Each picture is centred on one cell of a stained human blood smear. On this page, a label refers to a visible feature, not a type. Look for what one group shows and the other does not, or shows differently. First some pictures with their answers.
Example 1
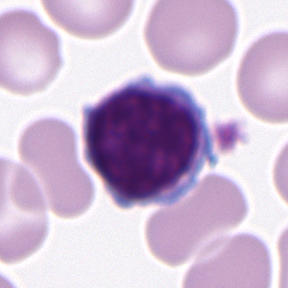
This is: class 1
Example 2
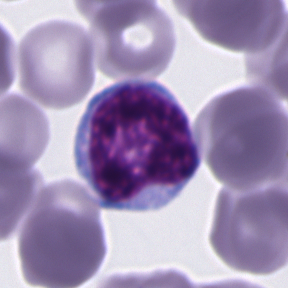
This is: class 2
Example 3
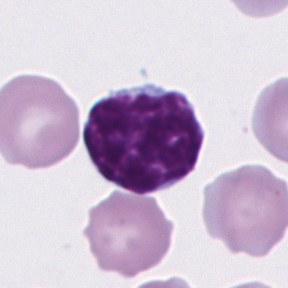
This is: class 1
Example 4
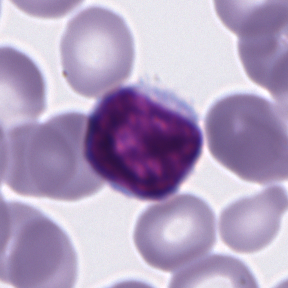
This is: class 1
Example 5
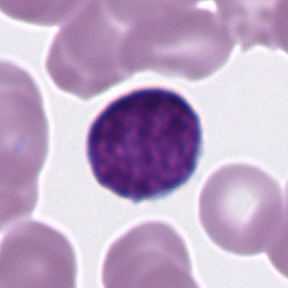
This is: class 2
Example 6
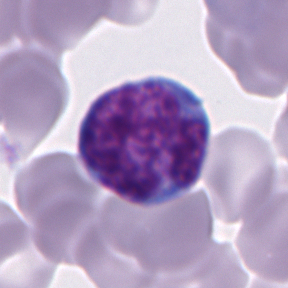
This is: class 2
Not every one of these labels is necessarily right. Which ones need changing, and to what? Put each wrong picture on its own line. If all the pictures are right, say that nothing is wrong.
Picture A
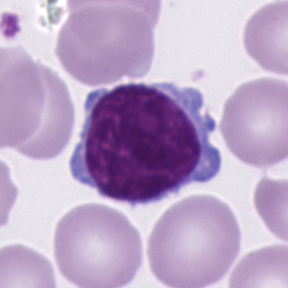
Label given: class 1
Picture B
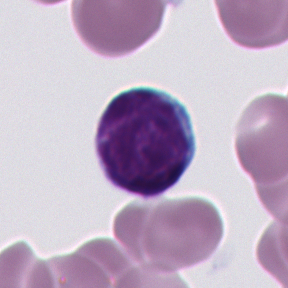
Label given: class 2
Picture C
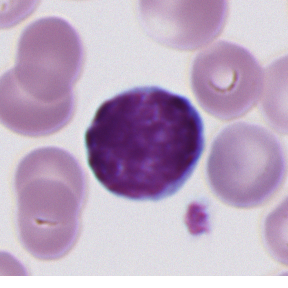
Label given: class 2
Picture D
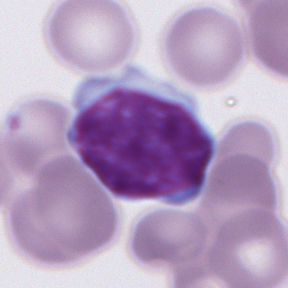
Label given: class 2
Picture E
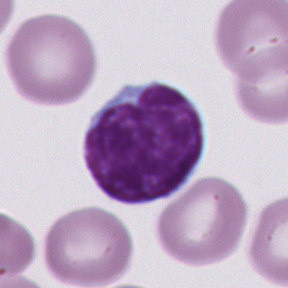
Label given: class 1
D: change class 2 to class 1
E: change class 1 to class 2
